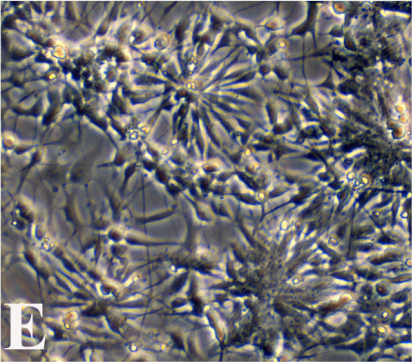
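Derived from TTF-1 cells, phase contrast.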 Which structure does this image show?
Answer: neural rosettes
